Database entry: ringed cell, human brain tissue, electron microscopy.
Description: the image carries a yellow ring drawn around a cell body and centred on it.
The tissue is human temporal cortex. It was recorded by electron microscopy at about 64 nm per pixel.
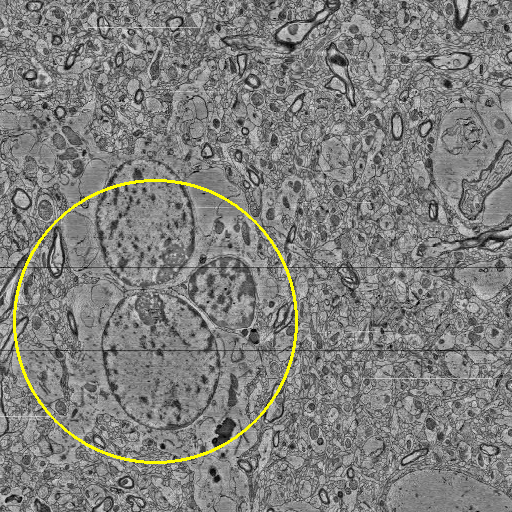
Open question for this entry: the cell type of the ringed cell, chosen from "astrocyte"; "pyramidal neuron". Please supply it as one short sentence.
The ringed cell is an astrocyte.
